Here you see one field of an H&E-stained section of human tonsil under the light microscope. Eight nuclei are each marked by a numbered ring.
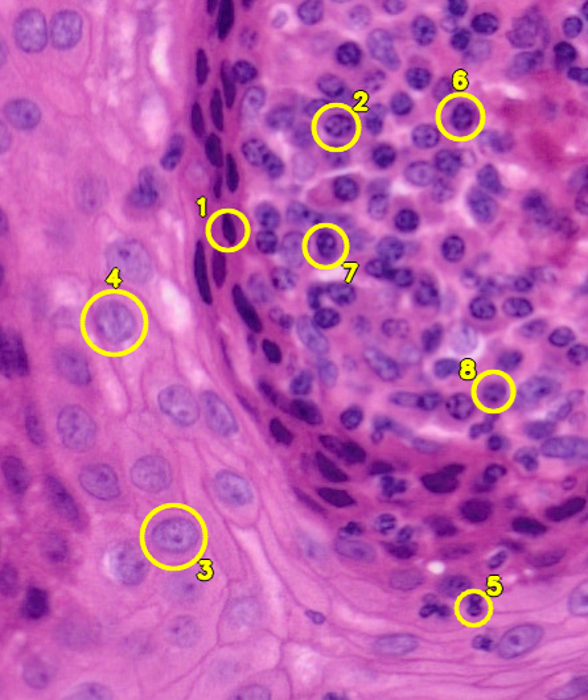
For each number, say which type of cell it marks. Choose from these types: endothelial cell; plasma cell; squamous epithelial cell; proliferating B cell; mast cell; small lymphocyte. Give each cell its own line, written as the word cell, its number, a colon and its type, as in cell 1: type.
cell 1: squamous epithelial cell
cell 2: plasma cell
cell 3: squamous epithelial cell
cell 4: squamous epithelial cell
cell 5: squamous epithelial cell
cell 6: plasma cell
cell 7: plasma cell
cell 8: plasma cell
